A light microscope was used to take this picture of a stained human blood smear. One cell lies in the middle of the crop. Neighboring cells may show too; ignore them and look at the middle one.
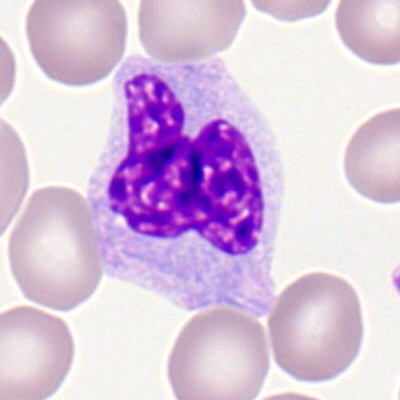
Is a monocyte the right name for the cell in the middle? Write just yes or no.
yes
